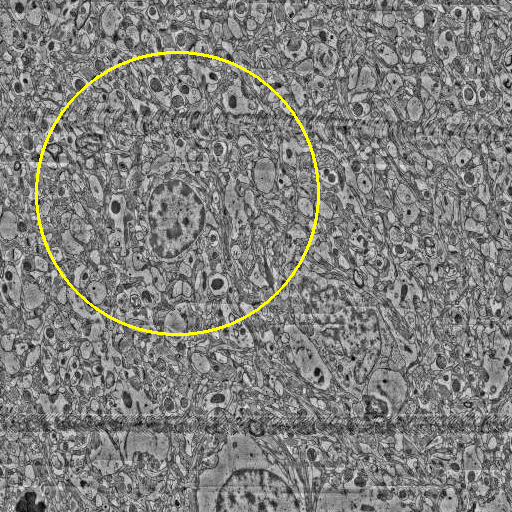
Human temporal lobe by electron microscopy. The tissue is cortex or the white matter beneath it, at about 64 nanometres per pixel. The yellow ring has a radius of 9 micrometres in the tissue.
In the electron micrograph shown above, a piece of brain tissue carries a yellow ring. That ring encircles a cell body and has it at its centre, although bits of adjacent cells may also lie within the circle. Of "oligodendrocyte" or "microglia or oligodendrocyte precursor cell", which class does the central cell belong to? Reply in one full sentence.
The cell body at the centre of the yellow ring belongs to a microglial cell or oligodendrocyte precursor cell.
